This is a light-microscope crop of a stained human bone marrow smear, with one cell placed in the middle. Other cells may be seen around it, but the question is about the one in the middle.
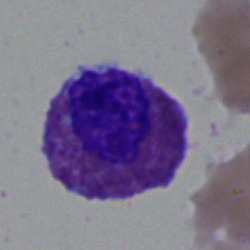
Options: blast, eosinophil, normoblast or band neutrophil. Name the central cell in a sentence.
In the middle of this smear crop is an eosinophil.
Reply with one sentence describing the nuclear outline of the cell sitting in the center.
If you check the nucleus, you will find one compact mass, round, oval or kidney-shaped.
